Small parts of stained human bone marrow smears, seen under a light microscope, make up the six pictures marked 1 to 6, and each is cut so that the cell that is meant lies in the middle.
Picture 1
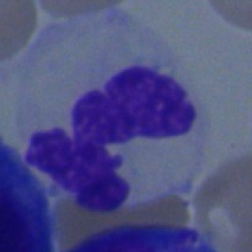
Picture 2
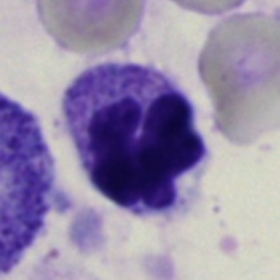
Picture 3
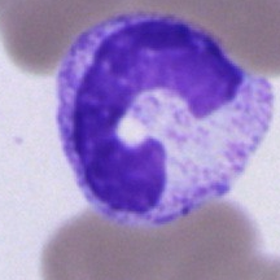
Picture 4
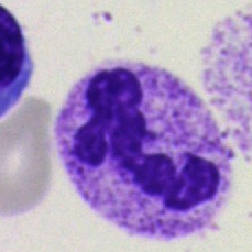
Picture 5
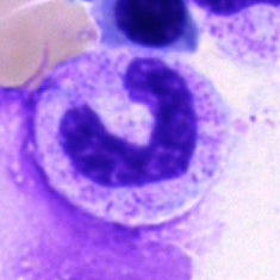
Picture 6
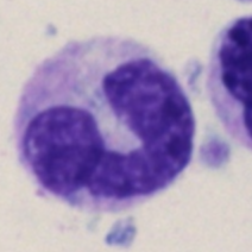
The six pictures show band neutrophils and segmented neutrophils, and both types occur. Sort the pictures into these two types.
1: segmented neutrophil
2: segmented neutrophil
3: band neutrophil
4: segmented neutrophil
5: band neutrophil
6: band neutrophil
